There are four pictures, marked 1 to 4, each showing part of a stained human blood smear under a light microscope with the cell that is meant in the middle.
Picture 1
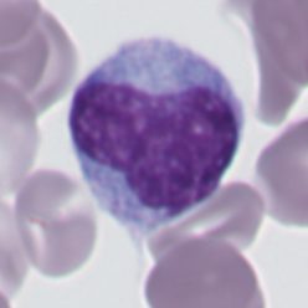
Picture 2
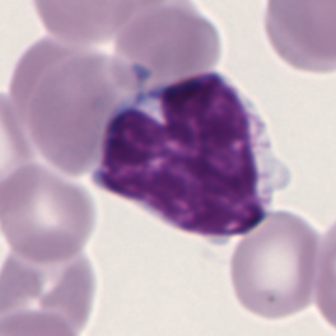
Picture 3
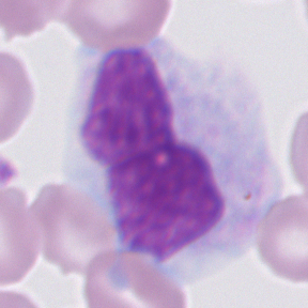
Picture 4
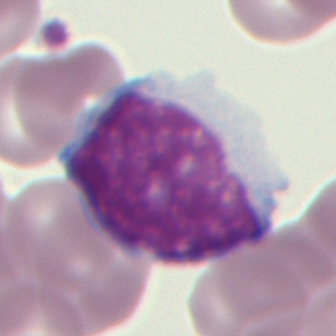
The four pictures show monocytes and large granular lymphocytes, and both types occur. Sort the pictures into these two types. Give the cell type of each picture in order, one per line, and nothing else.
monocyte
large granular lymphocyte
monocyte
monocyte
